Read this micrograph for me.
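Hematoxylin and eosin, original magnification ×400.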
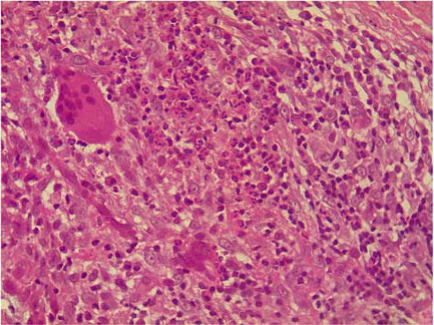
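Dense mixed inflammatory infiltrate in a loose pink stroma, made of neutrophils, lymphocytes, plasma cells and multinucleated giant cells. At upper left is a large multinucleated giant cell with abundant pink cytoplasm and a cluster of nuclei. A second, less distinct giant cell lies lower in the centre. Elongated and plump spindle-shaped cells are scattered among the infiltrate.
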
